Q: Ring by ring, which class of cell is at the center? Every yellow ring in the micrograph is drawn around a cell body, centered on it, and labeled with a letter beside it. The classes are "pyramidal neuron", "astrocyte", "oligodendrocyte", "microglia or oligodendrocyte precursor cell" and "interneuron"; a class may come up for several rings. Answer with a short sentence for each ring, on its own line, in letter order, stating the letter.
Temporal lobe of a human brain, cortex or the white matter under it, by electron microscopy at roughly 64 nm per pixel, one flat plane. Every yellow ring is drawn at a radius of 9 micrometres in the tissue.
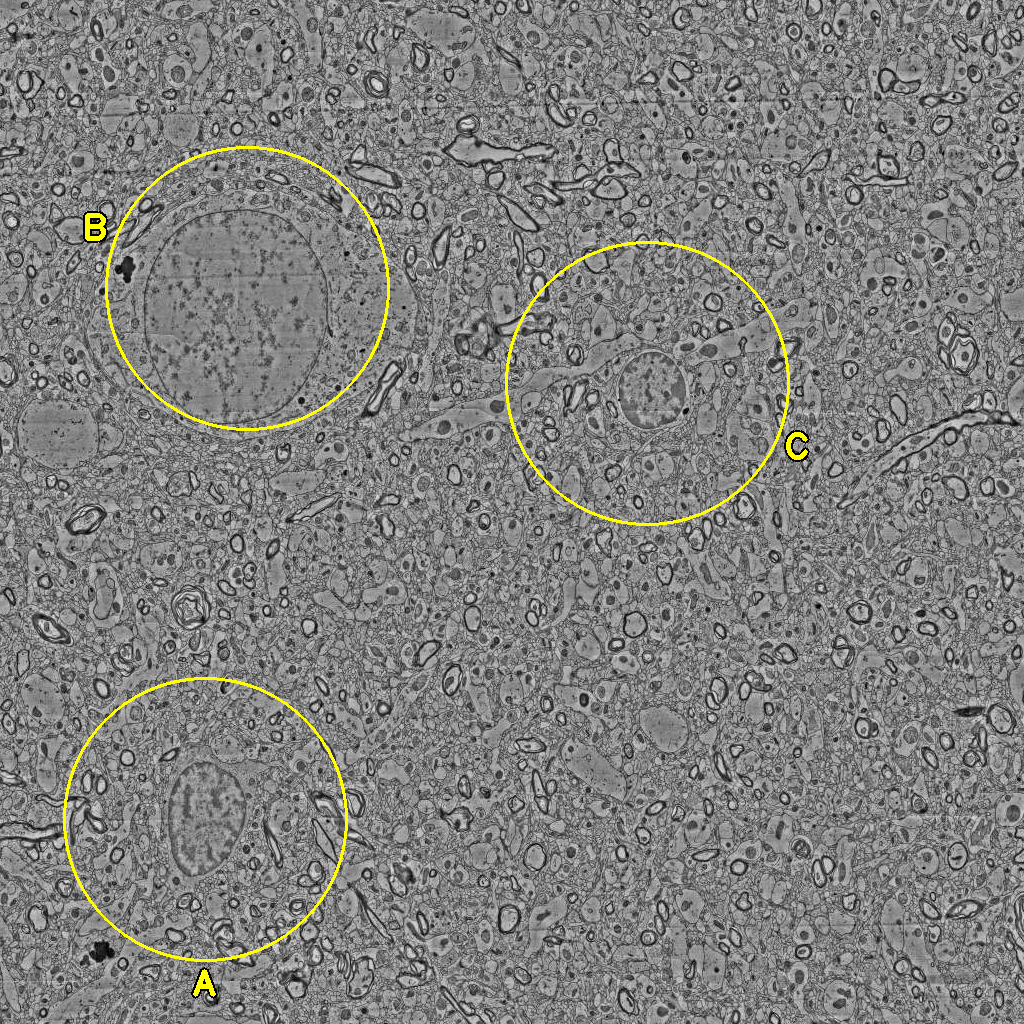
Ring A holds an oligodendrocyte at its center.
Ring B holds a pyramidal neuron at its center.
Ring C holds a microglial cell or oligodendrocyte precursor cell at its center.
